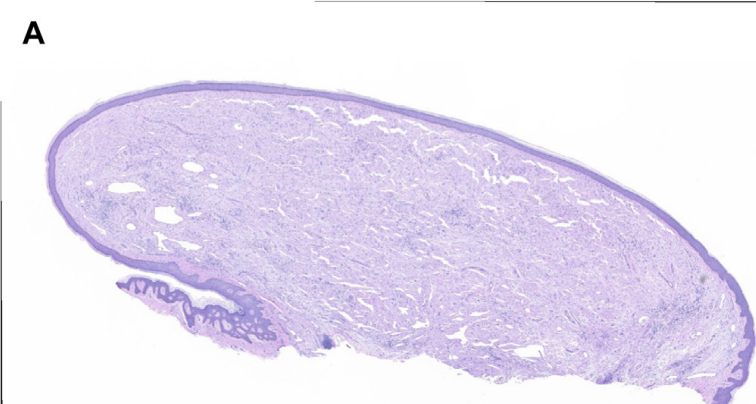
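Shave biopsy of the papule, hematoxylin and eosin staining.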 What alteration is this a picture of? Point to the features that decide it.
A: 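A dome-shaped lesion fills the dermis beneath a thin intact epidermis. The answer: well-circumscribed dermal proliferation.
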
